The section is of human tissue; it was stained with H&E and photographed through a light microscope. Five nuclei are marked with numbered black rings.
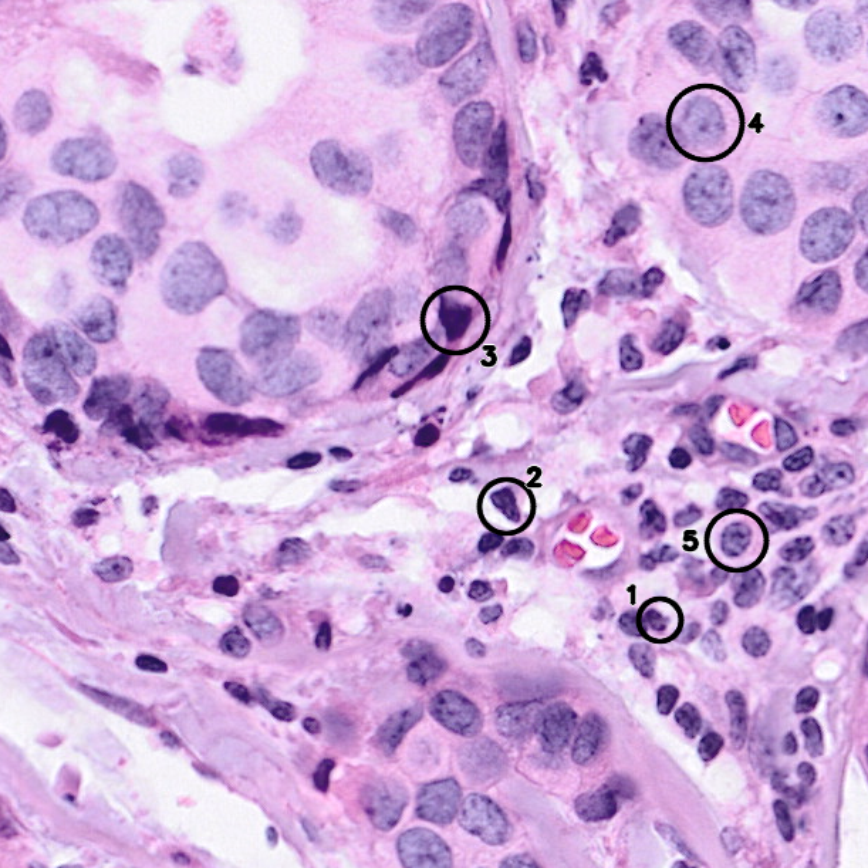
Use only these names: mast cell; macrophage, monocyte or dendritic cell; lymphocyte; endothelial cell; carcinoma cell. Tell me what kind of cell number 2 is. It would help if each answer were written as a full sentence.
Cell 2 in the field of view is a lymphocyte.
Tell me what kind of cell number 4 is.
The cell indicated with the number 4 is classed as a carcinoma cell.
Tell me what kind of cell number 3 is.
What the number 3 marks in this field is a carcinoma cell.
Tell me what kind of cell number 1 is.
The cell that bears the number 1 is a lymphocyte.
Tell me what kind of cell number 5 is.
Within this field of view, the cell labelled 5 is a mast cell.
